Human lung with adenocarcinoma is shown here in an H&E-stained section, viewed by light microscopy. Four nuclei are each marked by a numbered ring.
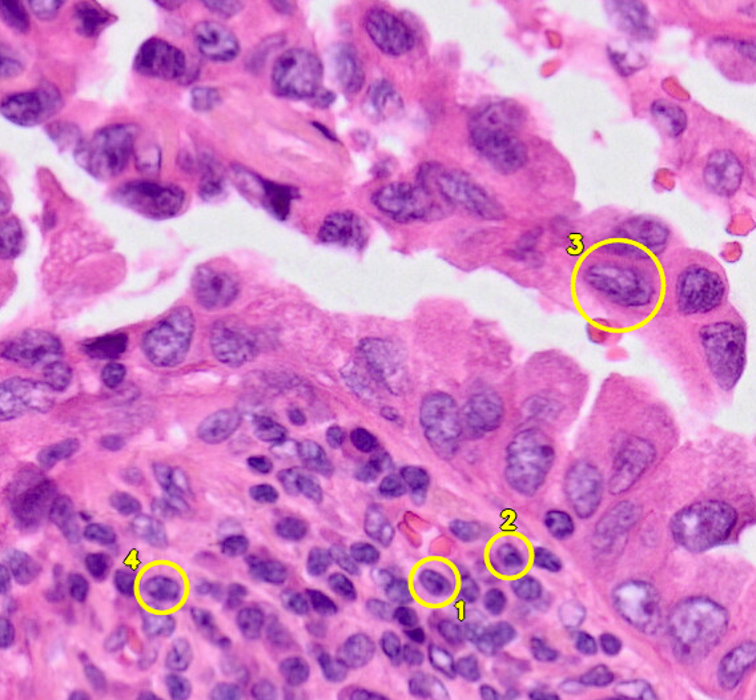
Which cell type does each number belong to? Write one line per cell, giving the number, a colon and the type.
1: lymphocyte
2: lymphocyte
3: carcinoma cell
4: lymphocyte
